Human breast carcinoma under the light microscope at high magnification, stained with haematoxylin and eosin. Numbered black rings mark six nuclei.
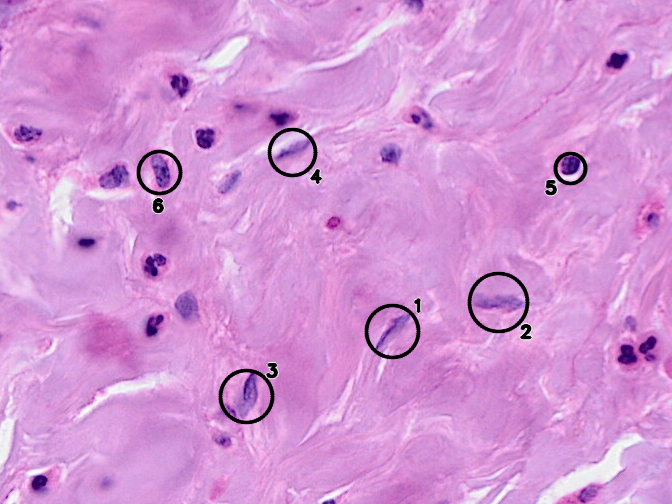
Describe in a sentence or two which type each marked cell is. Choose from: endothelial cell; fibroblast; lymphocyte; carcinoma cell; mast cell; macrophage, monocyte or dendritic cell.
Cell 1 is a fibroblast, cell 2 is a fibroblast, cell 3 is a fibroblast, cell 4 is a fibroblast, cell 5 is a lymphocyte and cell 6 is a mast cell.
